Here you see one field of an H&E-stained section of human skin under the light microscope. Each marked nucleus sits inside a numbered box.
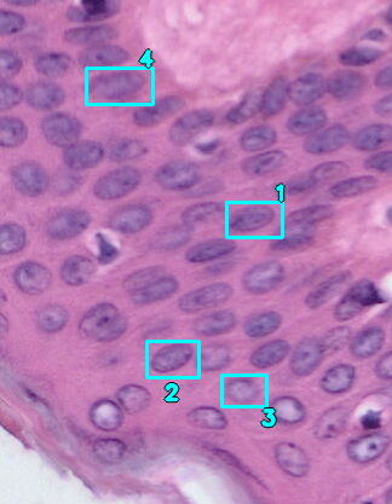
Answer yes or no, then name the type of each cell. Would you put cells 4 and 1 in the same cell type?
No, cell 4 is categorized as a basal keratinocyte, while cell 1 is categorized as a suprabasal keratinocyte.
